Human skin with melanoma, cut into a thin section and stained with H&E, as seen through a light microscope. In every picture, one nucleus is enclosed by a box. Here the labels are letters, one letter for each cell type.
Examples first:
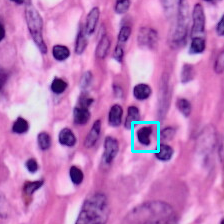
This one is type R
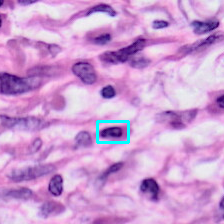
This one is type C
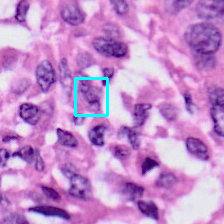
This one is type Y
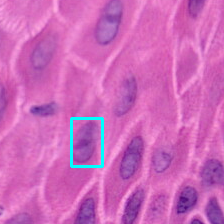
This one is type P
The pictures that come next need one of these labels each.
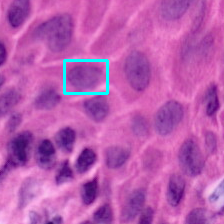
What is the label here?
type P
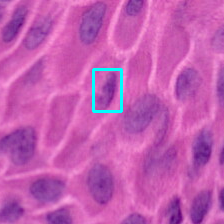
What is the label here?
type P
